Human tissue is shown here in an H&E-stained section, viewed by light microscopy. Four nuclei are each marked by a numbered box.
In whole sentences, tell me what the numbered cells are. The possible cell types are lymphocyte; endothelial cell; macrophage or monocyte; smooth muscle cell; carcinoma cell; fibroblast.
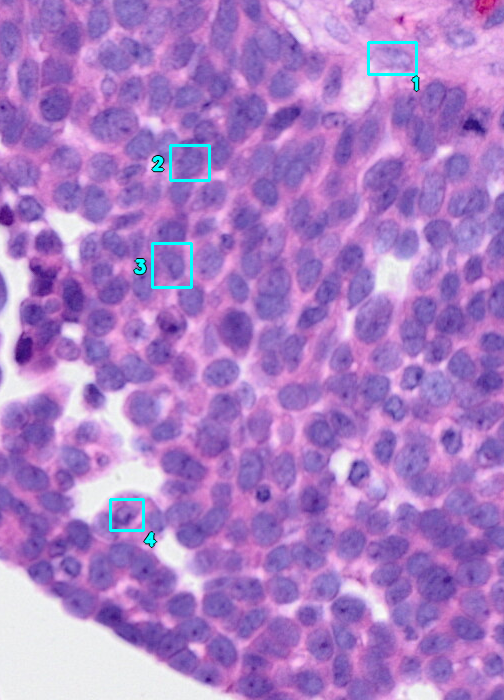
Cell 1 is a fibroblast, cell 2 is a carcinoma cell, cell 3 is a carcinoma cell and cell 4 is a macrophage or monocyte.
